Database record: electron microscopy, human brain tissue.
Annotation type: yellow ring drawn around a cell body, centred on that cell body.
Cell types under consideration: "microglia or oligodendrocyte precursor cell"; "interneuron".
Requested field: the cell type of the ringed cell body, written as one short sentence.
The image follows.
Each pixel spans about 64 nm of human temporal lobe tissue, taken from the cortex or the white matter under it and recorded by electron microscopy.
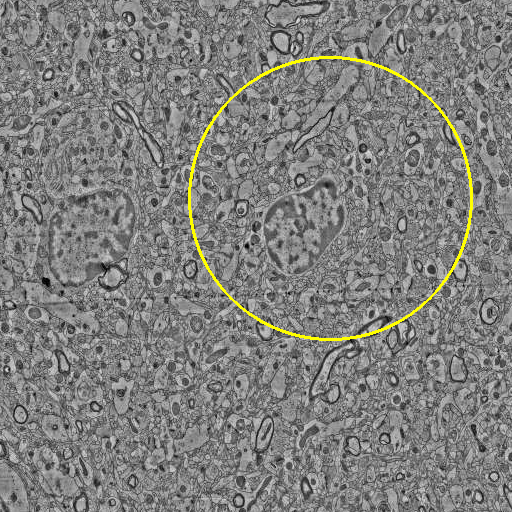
The ringed cell body represents a microglial cell or oligodendrocyte precursor cell.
